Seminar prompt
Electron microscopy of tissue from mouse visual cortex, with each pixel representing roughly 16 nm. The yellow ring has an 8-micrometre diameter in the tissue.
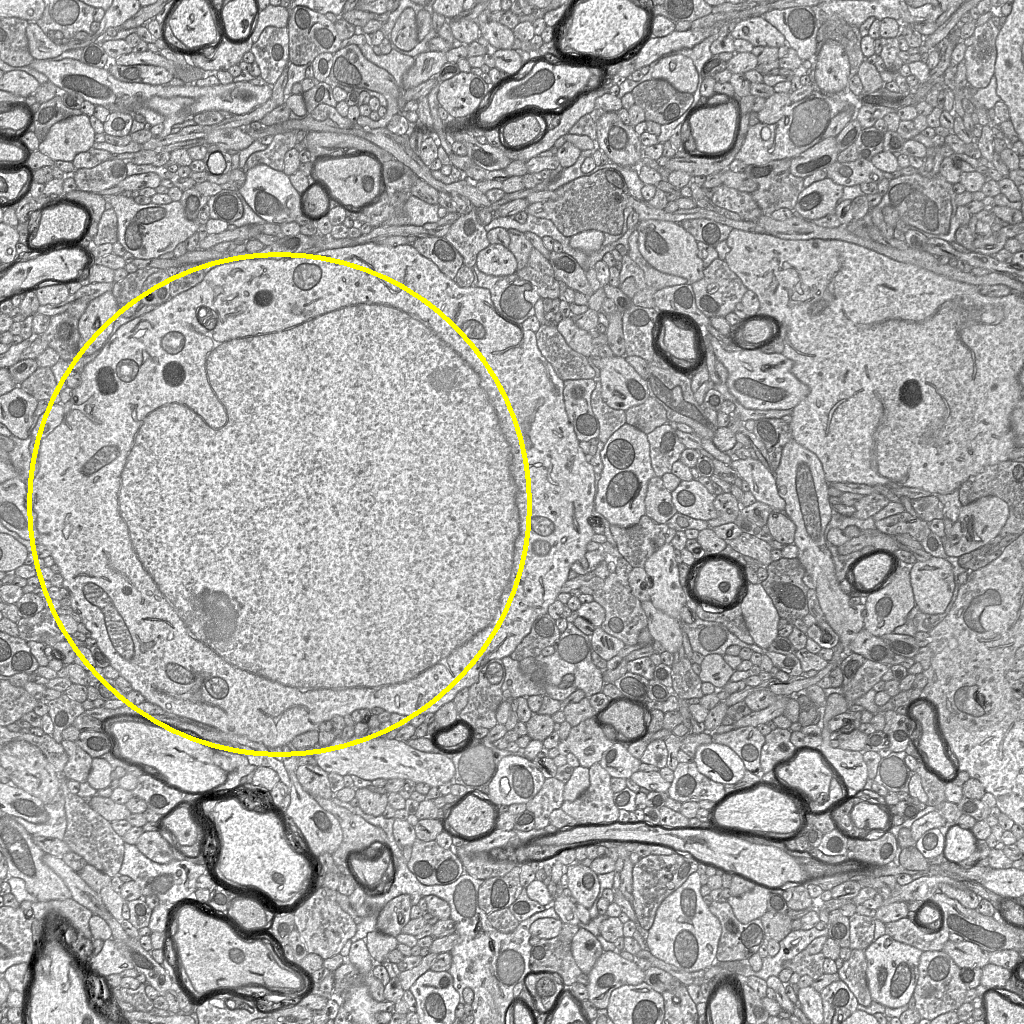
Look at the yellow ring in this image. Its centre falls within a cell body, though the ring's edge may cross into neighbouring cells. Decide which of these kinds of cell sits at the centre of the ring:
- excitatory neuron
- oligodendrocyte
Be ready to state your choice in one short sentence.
The kind of cell at the ring's centre is an excitatory neuron.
